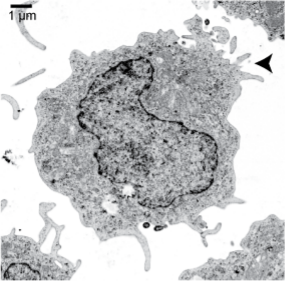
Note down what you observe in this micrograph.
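A single rounded cell is seen in cross-section, with a large, irregular, indented nucleus taking up much of the cell. Darker condensed chromatin lines the inner edge of the nuclear envelope, while the rest of the nucleus is paler. The cell surface carries many slender finger-like projections, the microvilli, several of which lie cut free around the cell. Overall the cell looks intact, with no sign of chromatin clumping or cytoplasmic breakdown.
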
